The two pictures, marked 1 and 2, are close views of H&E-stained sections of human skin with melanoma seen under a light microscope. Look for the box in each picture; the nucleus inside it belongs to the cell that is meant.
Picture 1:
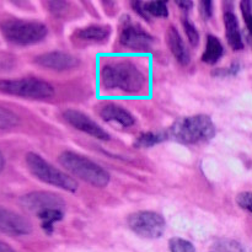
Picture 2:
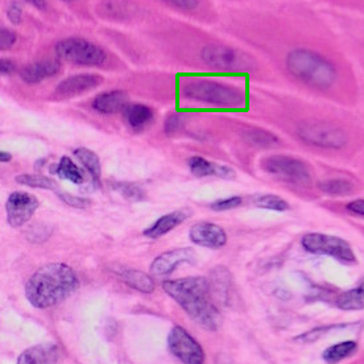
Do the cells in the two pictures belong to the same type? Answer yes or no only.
yes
